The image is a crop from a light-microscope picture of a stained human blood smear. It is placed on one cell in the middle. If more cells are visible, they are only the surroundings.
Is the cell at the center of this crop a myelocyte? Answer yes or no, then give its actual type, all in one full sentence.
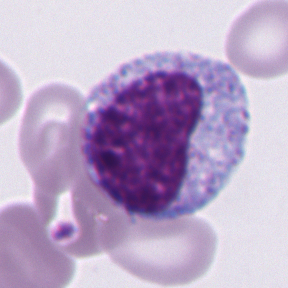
Yes, as regards the cell in the middle, it is a myelocyte.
